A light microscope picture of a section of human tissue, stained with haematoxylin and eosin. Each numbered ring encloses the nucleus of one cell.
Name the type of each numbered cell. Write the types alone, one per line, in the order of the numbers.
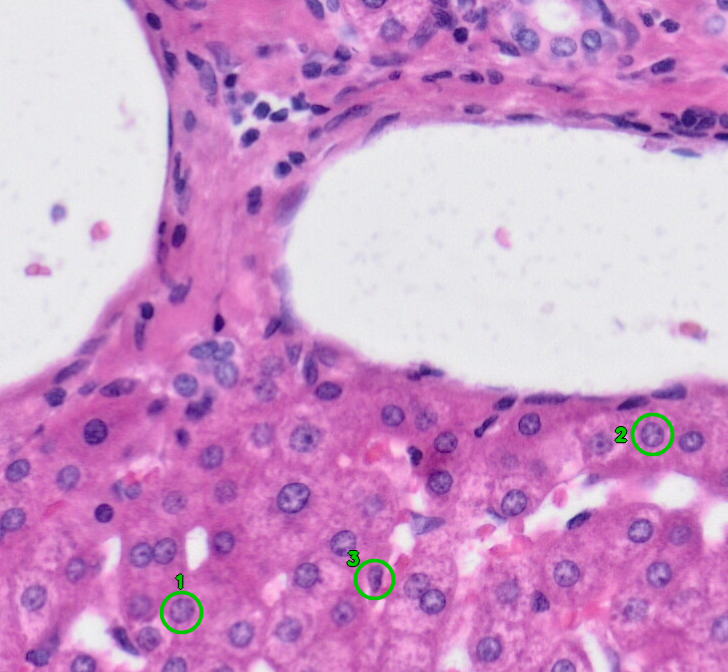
hepatocyte
hepatocyte
Kupffer cell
